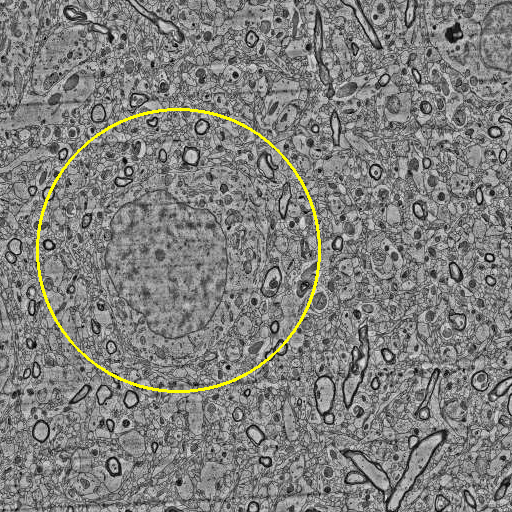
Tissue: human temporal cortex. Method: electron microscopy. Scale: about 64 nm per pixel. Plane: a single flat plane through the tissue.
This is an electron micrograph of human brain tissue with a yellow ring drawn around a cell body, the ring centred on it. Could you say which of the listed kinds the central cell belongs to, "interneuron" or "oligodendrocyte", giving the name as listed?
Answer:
interneuron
